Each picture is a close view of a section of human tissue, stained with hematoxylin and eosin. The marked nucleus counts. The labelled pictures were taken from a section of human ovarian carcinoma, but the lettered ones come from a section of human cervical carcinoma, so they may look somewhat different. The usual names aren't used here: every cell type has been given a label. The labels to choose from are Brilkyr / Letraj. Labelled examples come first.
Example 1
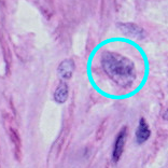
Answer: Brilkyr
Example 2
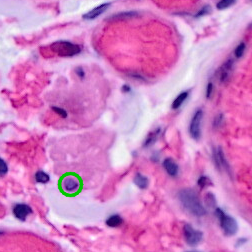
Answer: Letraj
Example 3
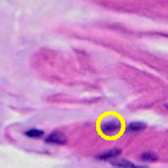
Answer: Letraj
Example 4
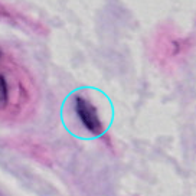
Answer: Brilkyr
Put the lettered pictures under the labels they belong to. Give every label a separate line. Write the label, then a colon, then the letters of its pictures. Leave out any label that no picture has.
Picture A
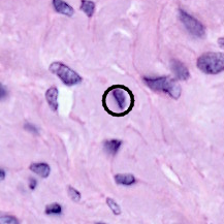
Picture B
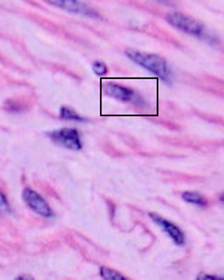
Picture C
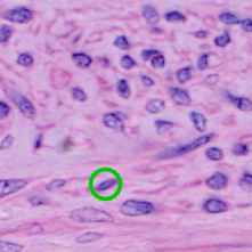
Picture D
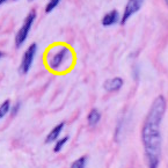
Brilkyr: A
Letraj: B, C, D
